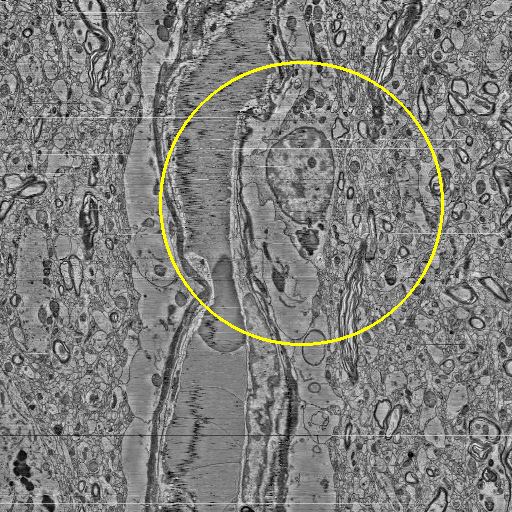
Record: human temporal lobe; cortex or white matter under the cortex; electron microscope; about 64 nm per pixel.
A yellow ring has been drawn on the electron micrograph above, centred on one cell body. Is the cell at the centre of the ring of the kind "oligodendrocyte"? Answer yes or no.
yes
